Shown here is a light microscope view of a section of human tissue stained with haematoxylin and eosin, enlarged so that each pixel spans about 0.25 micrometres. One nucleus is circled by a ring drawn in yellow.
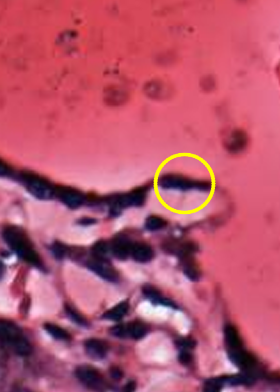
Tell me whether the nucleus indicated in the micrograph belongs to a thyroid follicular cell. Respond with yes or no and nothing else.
yes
